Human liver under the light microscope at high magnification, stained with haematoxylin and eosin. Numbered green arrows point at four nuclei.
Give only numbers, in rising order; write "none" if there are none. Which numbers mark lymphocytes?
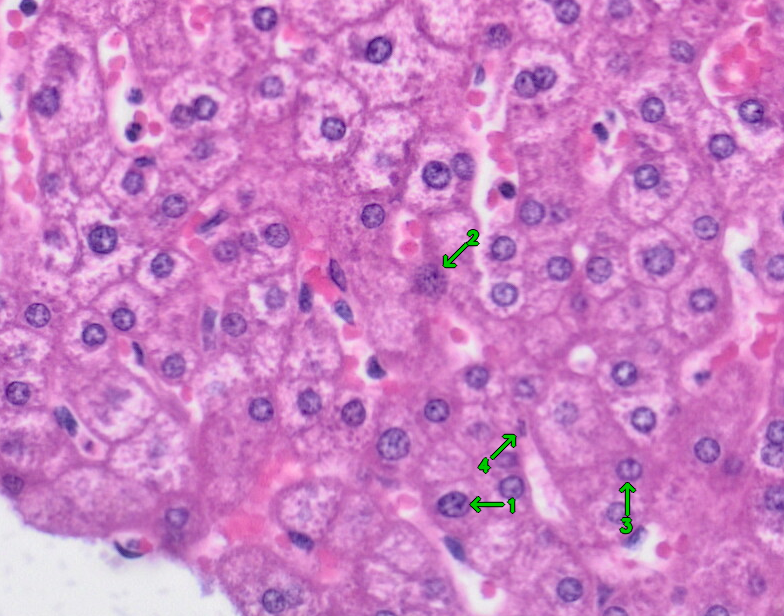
none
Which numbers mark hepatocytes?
1, 2, 3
